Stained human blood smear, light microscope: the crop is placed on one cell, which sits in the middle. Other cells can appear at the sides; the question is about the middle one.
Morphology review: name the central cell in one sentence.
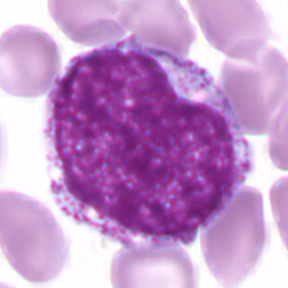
The cell at the centre of the field is a myelocyte.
